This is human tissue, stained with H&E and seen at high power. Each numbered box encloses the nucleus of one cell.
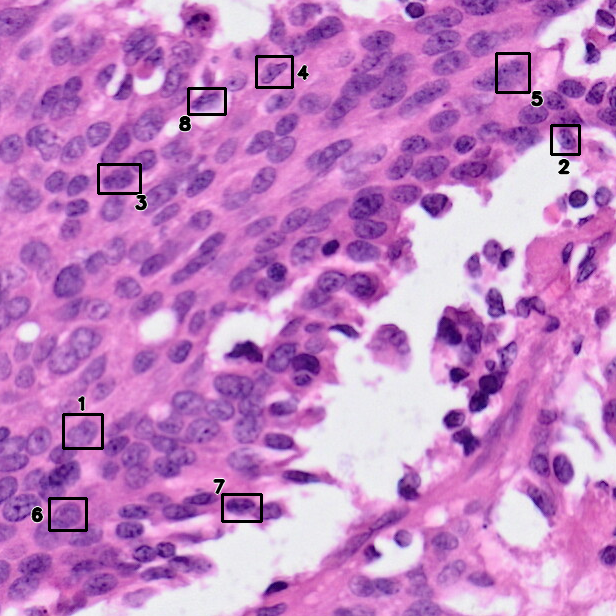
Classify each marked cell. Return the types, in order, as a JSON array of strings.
["carcinoma cell", "macrophage or monocyte", "carcinoma cell", "macrophage or monocyte", "carcinoma cell", "carcinoma cell", "macrophage or monocyte", "carcinoma cell"]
